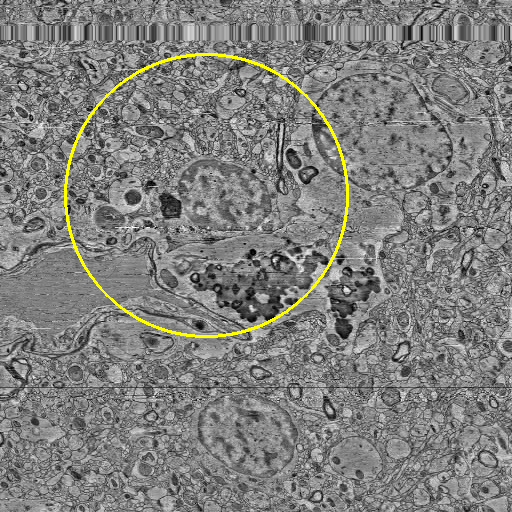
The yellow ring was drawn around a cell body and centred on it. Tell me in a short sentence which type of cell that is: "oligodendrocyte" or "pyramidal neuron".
The cell at the ring's centre is an oligodendrocyte.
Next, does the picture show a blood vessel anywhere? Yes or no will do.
Yes, one is visible.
